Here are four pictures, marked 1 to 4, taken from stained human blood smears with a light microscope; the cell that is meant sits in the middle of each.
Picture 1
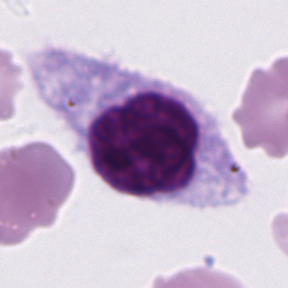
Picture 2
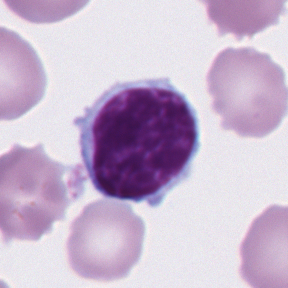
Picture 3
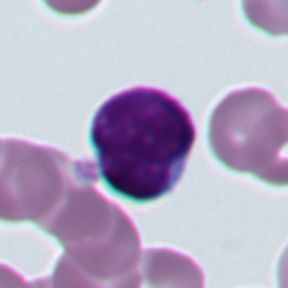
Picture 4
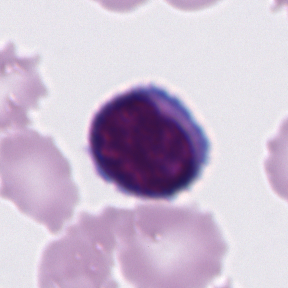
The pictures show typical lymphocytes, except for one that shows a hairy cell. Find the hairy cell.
1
